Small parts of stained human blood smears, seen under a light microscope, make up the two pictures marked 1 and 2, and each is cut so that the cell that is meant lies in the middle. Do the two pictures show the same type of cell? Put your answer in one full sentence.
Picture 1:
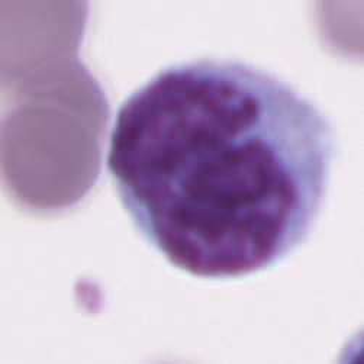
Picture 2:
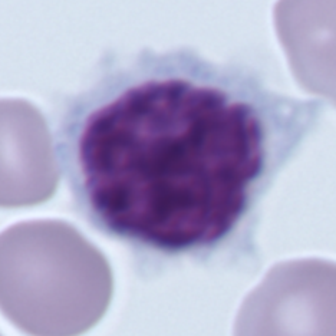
No. Picture 1 shows a monocyte, but picture 2 shows a hairy cell.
